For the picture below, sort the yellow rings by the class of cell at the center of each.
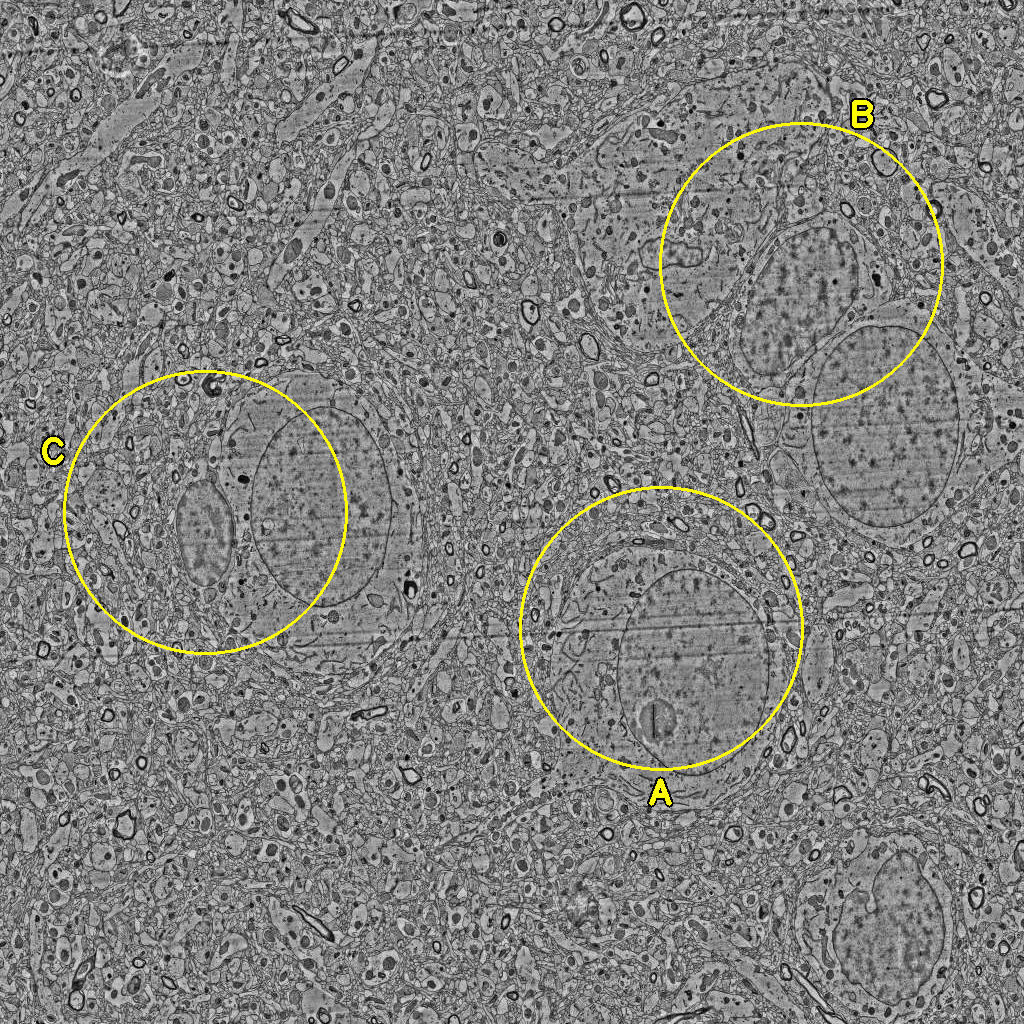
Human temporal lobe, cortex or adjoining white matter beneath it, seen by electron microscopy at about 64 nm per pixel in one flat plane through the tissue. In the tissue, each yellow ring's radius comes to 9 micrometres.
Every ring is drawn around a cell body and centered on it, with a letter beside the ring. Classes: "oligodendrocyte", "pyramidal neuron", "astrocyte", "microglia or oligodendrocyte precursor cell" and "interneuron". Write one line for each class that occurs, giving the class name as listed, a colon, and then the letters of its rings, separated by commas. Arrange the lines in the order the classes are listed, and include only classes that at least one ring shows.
oligodendrocyte: C
pyramidal neuron: A
interneuron: B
